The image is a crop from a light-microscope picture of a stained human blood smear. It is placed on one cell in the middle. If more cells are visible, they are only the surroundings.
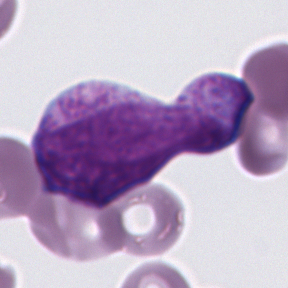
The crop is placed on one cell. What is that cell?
atypical promyelocyte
